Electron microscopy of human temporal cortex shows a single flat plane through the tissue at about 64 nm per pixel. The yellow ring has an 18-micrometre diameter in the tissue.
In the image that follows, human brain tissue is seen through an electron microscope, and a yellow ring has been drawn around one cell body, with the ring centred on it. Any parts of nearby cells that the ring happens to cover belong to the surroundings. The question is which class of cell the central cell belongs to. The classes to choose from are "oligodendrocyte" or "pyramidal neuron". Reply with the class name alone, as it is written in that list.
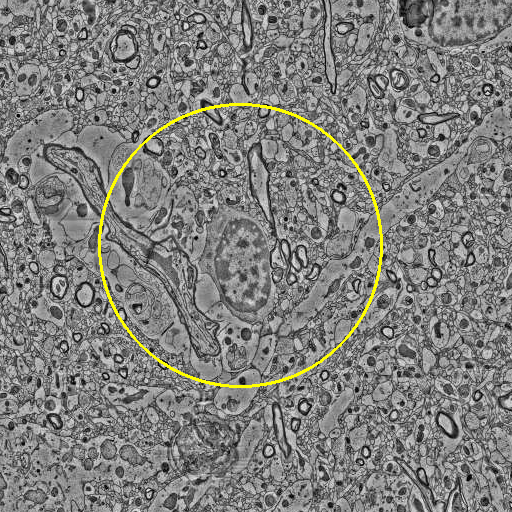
oligodendrocyte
